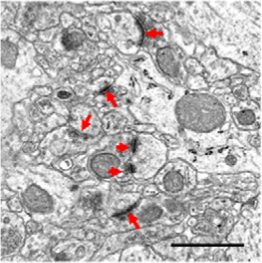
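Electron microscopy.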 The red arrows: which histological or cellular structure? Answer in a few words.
Synaptic junctions.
